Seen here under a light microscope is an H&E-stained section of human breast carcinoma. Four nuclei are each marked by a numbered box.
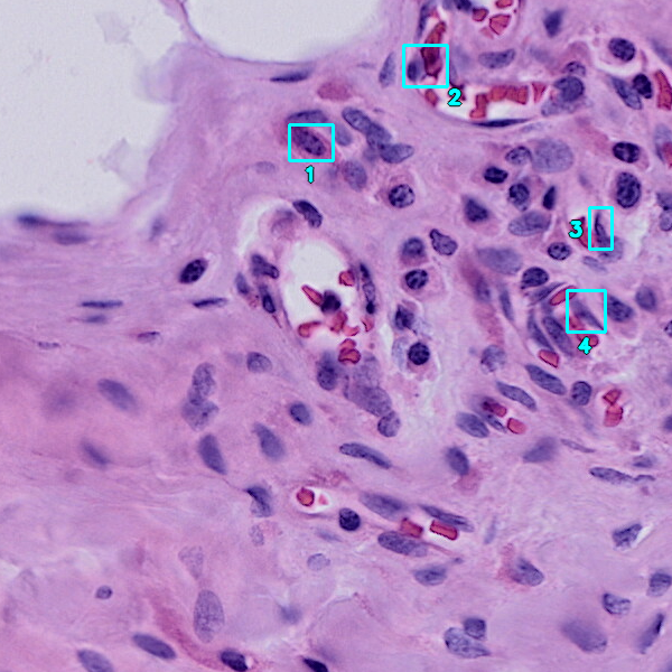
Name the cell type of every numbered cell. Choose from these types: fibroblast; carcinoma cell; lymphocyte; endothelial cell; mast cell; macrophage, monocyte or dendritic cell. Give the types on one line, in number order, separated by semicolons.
mast cell; endothelial cell; endothelial cell; endothelial cell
